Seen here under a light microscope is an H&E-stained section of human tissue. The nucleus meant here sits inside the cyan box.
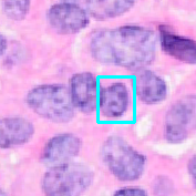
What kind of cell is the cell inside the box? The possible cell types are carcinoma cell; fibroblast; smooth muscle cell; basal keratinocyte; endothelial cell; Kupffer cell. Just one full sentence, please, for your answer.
What the cell inside the box represents is a carcinoma cell.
